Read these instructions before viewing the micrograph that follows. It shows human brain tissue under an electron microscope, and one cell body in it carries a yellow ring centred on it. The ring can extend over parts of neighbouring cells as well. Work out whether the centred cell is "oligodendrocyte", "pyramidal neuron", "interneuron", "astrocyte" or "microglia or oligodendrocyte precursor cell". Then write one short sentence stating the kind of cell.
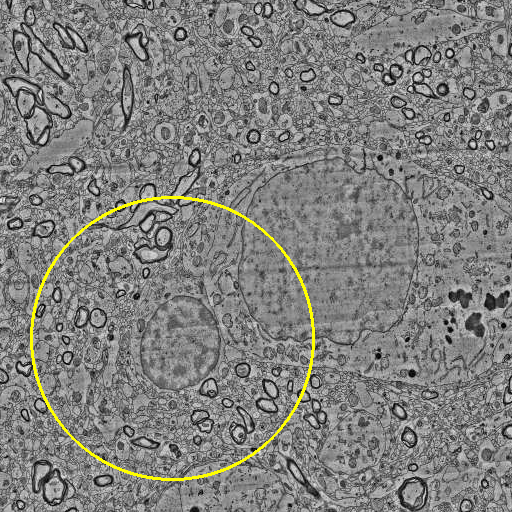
The ringed cell is an oligodendrocyte.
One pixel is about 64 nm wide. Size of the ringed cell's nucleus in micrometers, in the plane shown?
About 6 by 5 micrometers for the nucleus, in this plane.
